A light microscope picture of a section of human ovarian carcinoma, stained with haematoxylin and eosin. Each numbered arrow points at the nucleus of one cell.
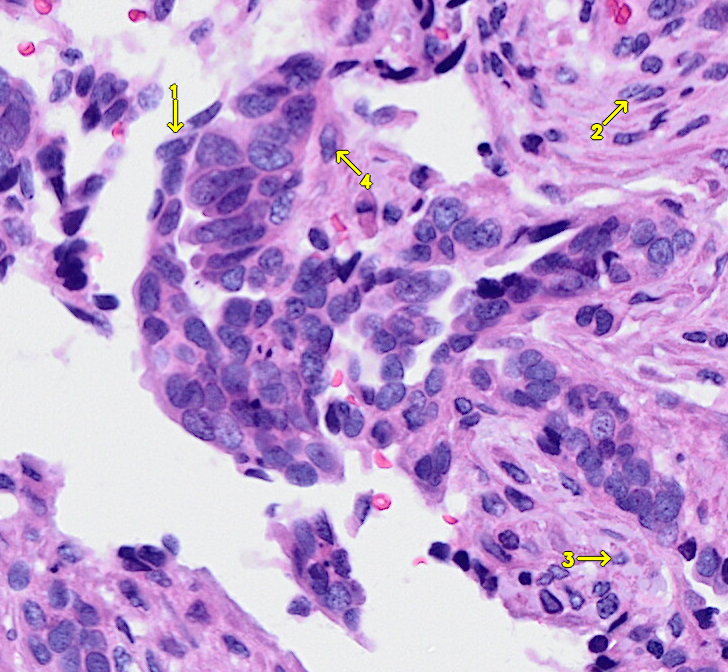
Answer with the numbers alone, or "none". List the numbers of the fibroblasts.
2, 3, 4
